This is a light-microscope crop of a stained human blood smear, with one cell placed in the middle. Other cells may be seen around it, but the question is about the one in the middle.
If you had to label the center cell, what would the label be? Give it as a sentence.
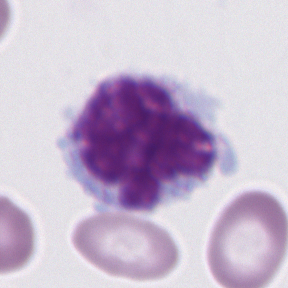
What the crop centres on is a large granular lymphocyte.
